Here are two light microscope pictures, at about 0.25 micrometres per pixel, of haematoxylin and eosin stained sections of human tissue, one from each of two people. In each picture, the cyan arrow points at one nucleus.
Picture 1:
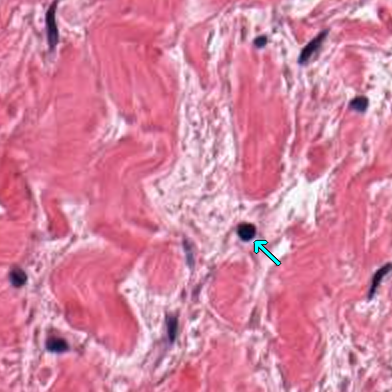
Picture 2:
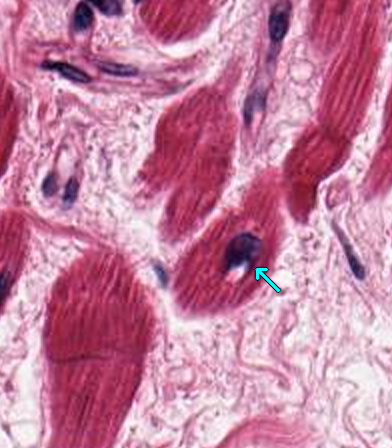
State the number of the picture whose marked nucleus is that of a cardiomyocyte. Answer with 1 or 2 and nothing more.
2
